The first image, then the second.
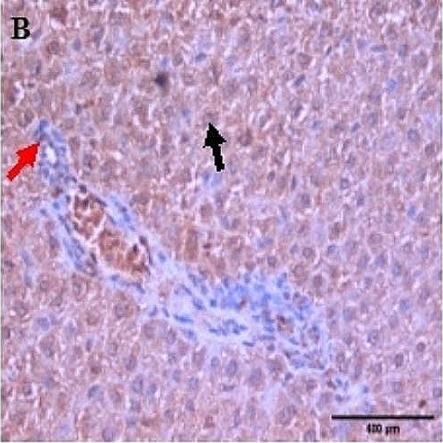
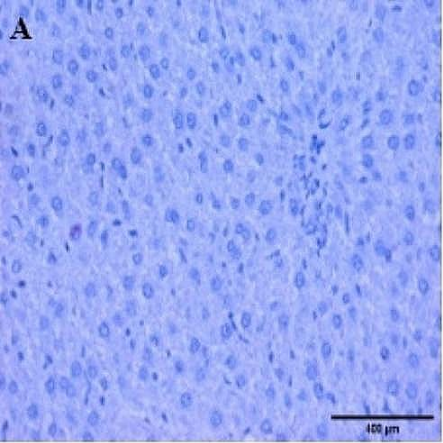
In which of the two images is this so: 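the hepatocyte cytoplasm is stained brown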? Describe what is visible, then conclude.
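First image: the cytoplasm of the liver cells throughout the field is brown. Second image: the liver cells are blue only, with no brown. So: the first image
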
